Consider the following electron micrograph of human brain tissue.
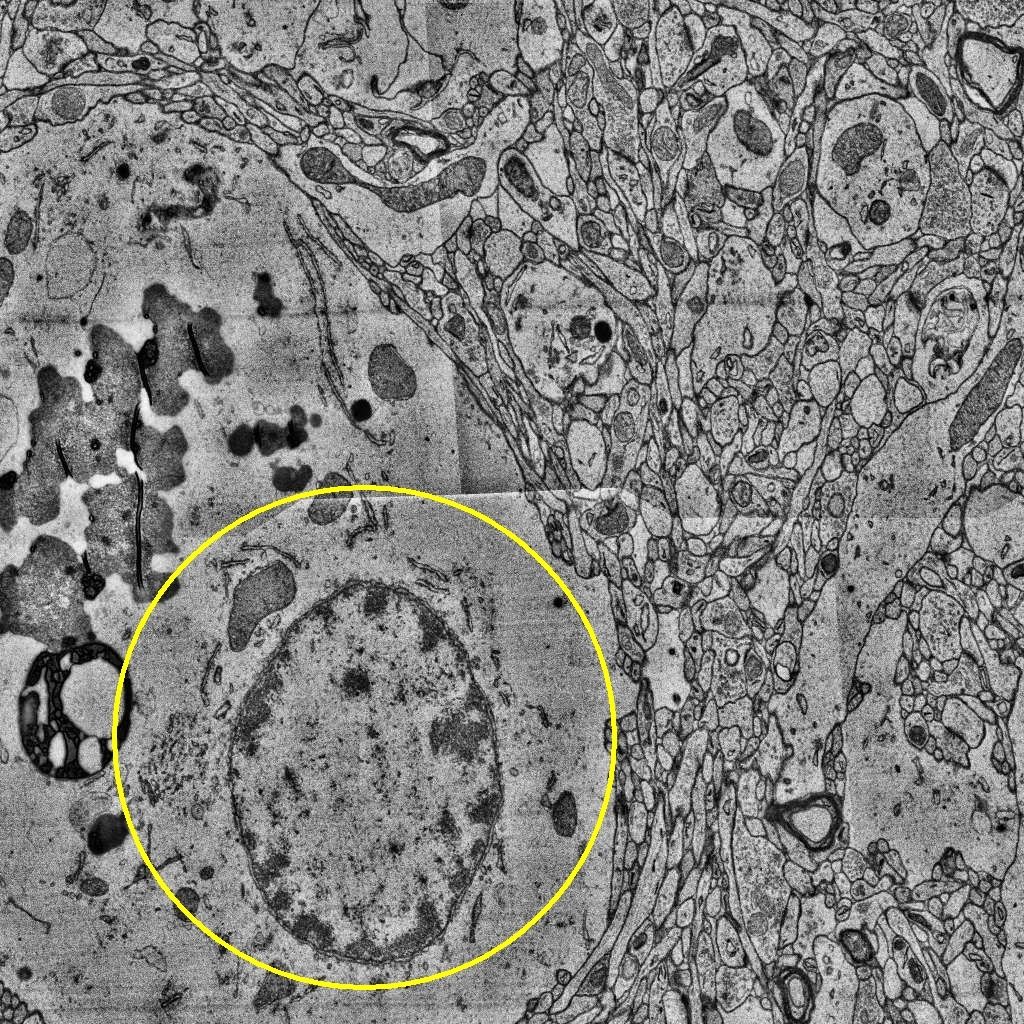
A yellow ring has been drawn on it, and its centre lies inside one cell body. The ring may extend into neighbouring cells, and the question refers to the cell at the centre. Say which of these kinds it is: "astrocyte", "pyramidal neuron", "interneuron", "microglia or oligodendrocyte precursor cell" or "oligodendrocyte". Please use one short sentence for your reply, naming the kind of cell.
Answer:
The centre of the ring falls on an astrocyte.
